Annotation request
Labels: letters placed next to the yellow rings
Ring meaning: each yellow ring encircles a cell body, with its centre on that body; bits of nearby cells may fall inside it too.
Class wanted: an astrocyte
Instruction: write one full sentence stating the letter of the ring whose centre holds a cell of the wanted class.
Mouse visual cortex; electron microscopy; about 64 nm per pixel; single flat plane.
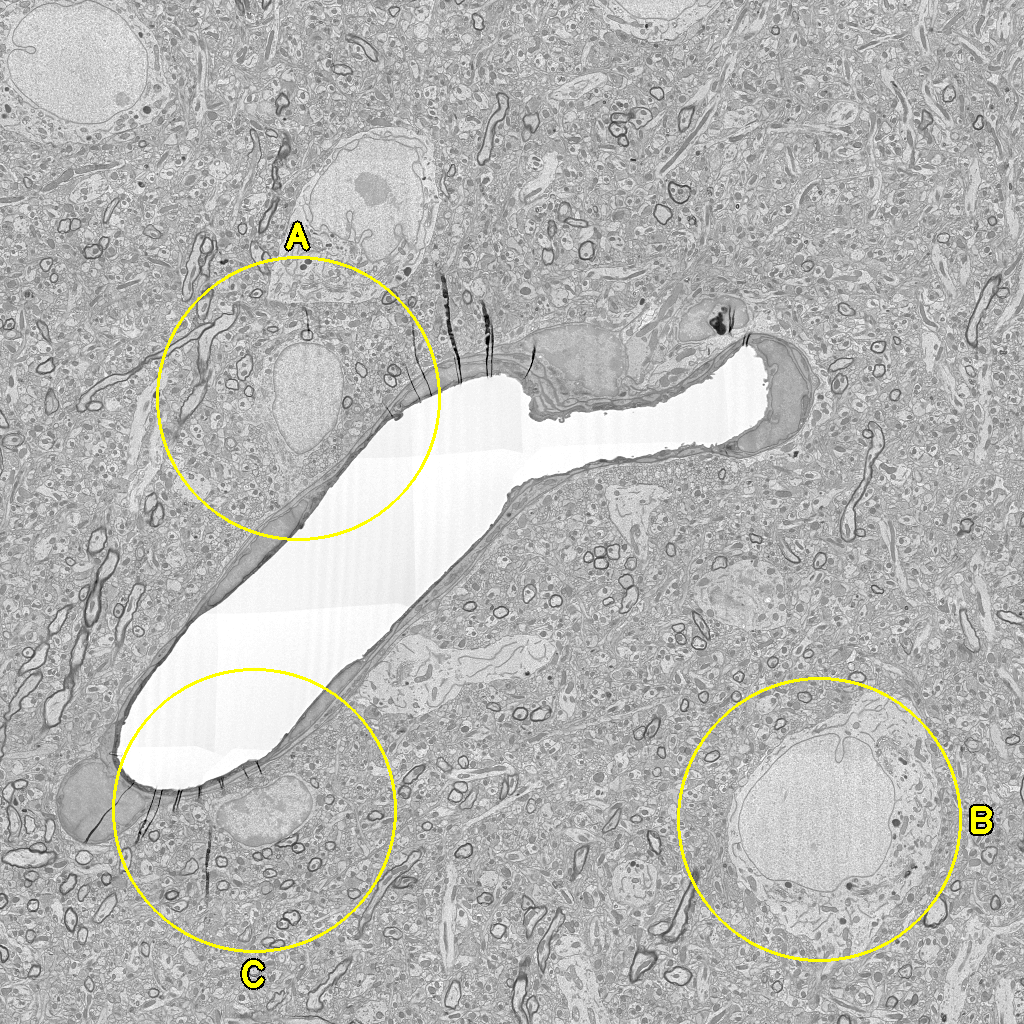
For this annotation, a cell of that kind sits at the centre of ring A.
